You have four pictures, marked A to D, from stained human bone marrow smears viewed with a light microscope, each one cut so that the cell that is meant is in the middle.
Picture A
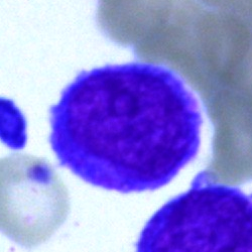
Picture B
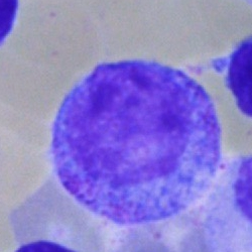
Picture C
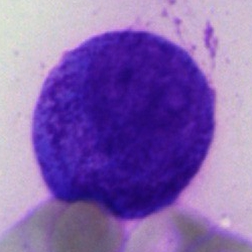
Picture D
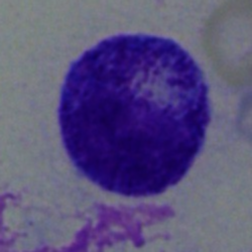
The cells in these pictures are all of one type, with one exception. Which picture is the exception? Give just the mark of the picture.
A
